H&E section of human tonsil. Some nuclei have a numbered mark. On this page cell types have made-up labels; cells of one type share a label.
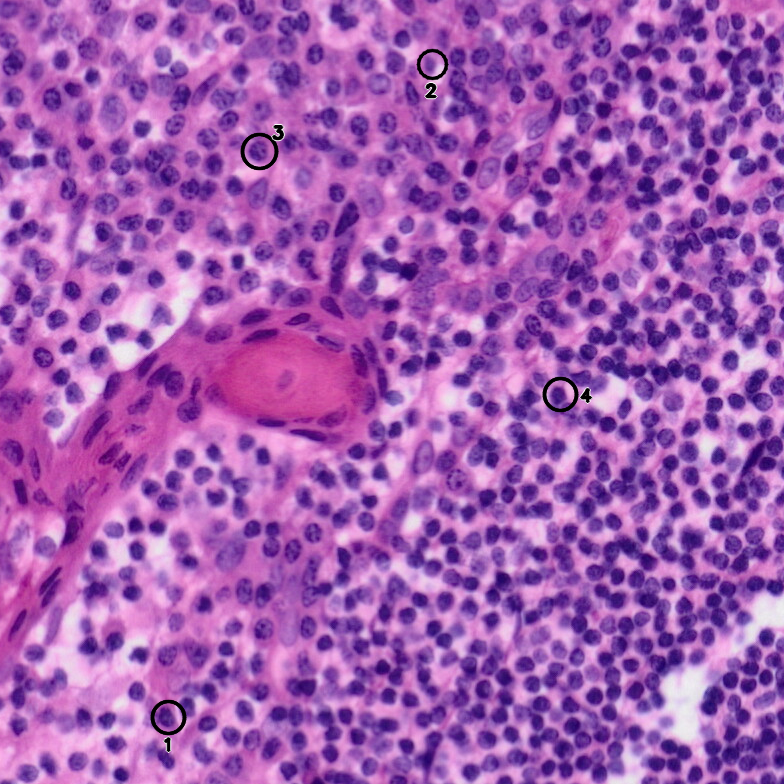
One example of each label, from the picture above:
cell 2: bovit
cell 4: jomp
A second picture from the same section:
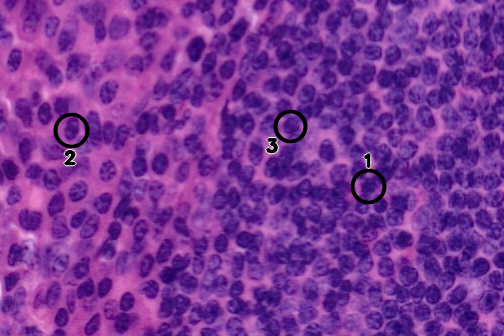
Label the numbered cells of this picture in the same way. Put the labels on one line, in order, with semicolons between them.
jomp; bovit; jomp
